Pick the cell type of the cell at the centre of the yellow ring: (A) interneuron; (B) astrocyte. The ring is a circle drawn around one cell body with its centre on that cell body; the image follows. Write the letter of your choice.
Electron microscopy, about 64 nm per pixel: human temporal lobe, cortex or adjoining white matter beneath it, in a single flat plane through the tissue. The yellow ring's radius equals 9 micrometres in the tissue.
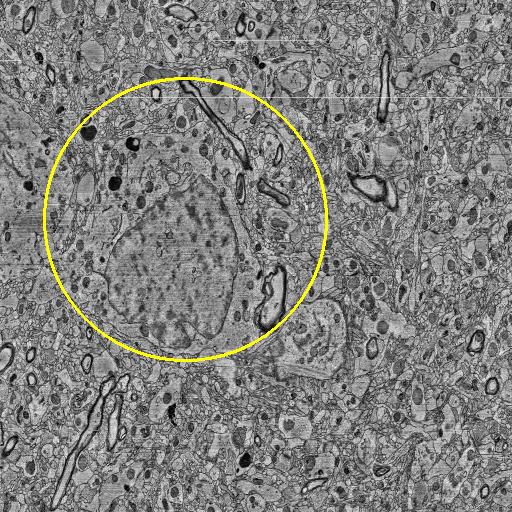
A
